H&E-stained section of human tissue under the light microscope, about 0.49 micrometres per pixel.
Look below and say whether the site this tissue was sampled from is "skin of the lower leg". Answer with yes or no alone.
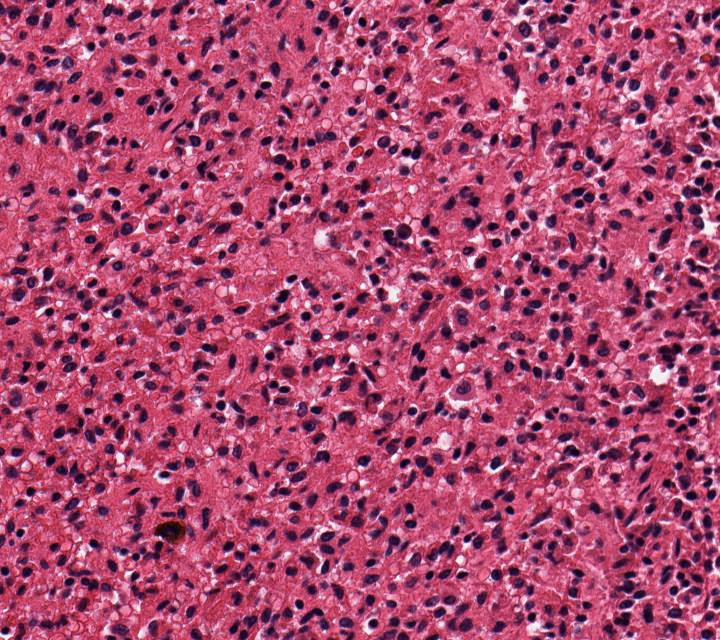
no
